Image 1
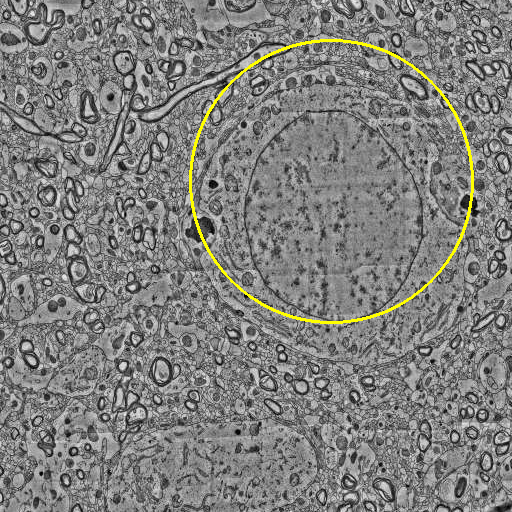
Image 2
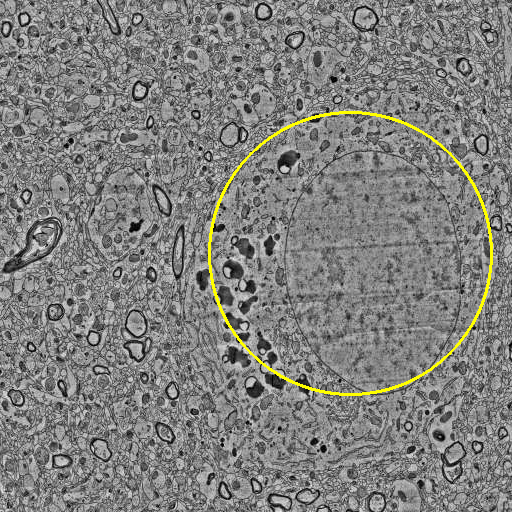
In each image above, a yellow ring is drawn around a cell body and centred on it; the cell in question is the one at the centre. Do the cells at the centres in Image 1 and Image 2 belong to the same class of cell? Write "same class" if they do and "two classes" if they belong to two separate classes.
same class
